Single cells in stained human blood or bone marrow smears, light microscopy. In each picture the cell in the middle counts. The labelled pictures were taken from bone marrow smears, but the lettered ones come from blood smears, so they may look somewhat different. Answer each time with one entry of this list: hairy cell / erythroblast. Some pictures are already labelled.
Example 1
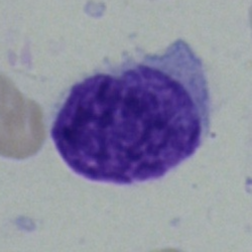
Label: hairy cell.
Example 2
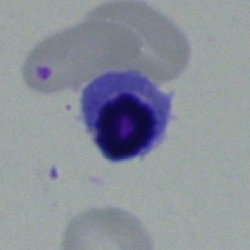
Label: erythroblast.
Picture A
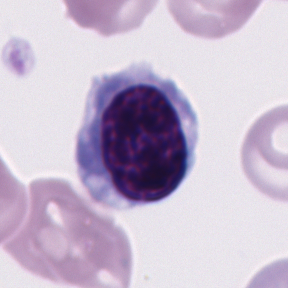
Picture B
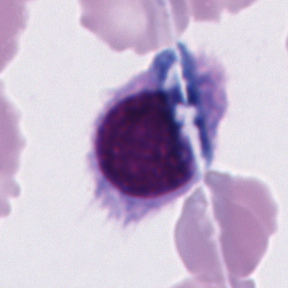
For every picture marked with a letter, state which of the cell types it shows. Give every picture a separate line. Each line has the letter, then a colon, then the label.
A: erythroblast.
B: hairy cell.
